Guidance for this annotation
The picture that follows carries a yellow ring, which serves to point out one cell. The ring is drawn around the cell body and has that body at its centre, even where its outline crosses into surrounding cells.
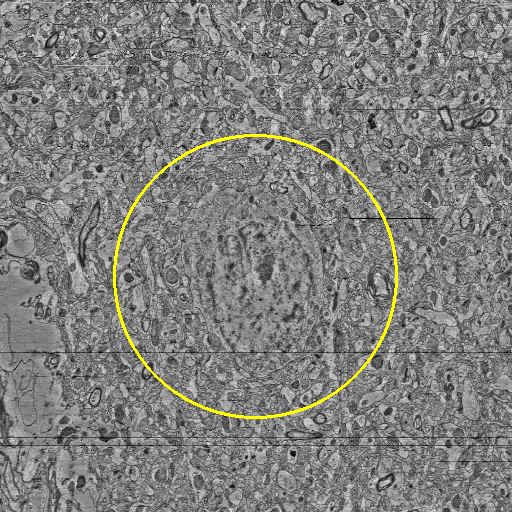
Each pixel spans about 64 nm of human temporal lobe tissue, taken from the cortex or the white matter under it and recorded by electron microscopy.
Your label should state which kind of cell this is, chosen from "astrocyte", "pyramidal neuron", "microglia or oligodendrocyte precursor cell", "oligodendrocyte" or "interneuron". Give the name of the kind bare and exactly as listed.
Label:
interneuron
